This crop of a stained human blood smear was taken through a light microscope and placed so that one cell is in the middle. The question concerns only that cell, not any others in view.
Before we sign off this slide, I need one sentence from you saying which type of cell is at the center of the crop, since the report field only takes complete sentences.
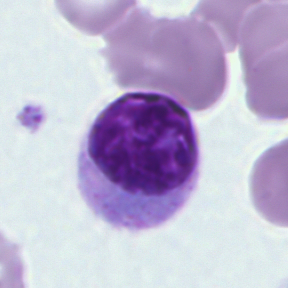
Here the cell in the middle is a plasma cell.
